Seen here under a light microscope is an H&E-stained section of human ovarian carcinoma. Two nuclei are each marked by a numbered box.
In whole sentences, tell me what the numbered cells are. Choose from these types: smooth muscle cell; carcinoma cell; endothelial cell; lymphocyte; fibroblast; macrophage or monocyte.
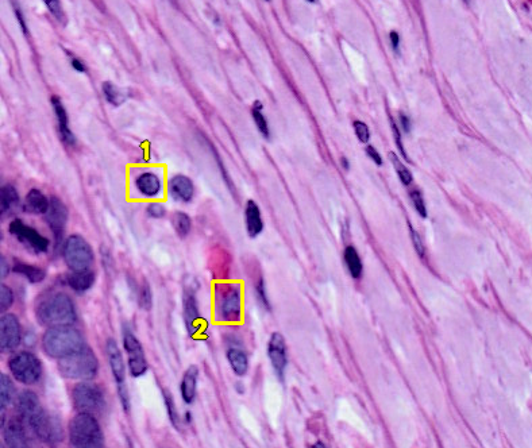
Cell 1 is a lymphocyte. Cell 2 is an endothelial cell.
